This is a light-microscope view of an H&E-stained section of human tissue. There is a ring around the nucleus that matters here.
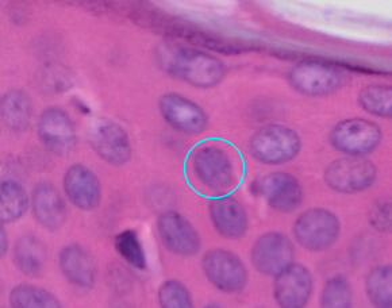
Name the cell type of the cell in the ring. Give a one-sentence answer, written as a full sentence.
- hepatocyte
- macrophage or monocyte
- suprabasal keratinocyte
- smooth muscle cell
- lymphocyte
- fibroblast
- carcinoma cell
The cell type of the cell in the ring is that of a suprabasal keratinocyte.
